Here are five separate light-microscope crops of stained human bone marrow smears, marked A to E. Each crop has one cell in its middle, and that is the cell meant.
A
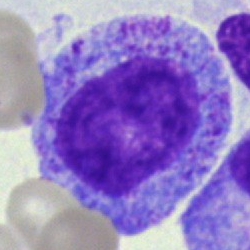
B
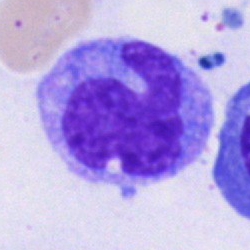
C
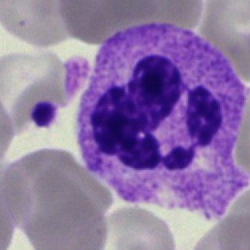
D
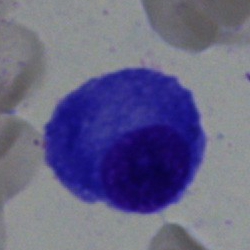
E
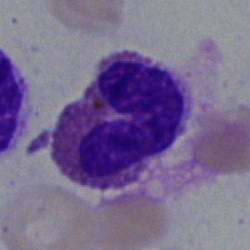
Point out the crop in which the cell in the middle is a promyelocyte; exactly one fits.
A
